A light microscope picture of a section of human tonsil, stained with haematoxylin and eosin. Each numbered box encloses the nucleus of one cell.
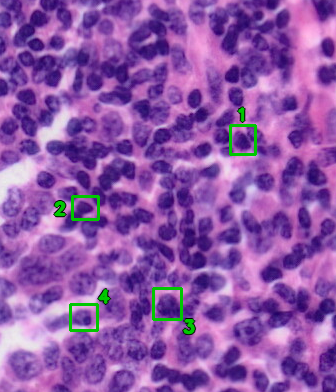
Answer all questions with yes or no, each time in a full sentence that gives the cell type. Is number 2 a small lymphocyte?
Yes, within this section, cell number 2 is a small lymphocyte.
